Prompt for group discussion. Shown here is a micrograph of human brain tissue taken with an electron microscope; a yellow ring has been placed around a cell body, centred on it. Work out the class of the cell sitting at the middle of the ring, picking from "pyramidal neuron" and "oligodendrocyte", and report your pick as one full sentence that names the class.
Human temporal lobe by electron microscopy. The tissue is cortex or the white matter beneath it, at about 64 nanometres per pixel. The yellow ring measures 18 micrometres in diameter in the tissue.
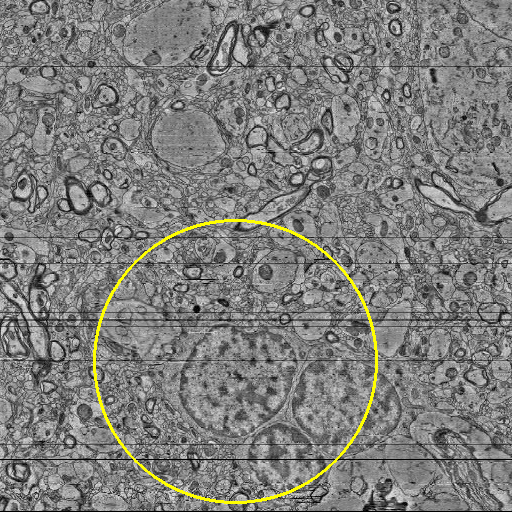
The cell sitting at the middle of the yellow ring is an oligodendrocyte.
